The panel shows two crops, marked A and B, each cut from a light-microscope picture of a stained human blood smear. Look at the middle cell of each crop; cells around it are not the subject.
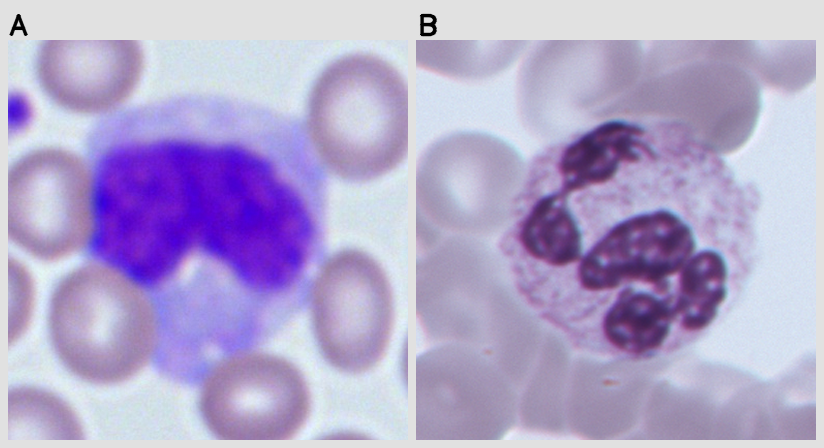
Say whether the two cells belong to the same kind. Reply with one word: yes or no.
no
